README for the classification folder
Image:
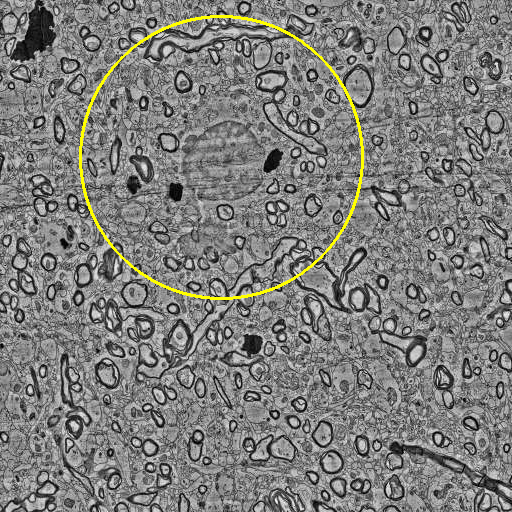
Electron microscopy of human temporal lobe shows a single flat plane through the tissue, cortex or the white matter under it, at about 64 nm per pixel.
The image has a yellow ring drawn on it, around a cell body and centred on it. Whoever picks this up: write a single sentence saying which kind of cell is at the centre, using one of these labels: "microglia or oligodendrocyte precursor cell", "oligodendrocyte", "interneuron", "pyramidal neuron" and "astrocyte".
This cell body is that of an oligodendrocyte.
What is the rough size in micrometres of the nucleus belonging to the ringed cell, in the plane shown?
The nucleus measures about 5 micrometers across in this plane.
